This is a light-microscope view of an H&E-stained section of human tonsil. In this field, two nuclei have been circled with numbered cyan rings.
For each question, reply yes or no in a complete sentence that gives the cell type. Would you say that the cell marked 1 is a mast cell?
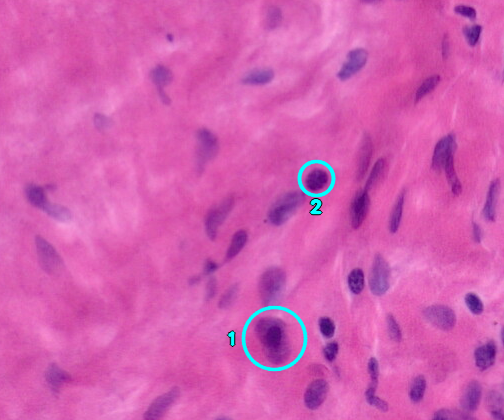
No, cell 1 is identified not as a mast cell but as an endothelial cell.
